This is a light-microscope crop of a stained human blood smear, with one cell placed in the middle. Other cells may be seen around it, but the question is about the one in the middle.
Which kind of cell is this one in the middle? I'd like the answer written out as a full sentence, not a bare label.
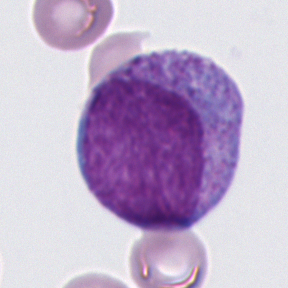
The cell sitting right in the middle is an atypical promyelocyte.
